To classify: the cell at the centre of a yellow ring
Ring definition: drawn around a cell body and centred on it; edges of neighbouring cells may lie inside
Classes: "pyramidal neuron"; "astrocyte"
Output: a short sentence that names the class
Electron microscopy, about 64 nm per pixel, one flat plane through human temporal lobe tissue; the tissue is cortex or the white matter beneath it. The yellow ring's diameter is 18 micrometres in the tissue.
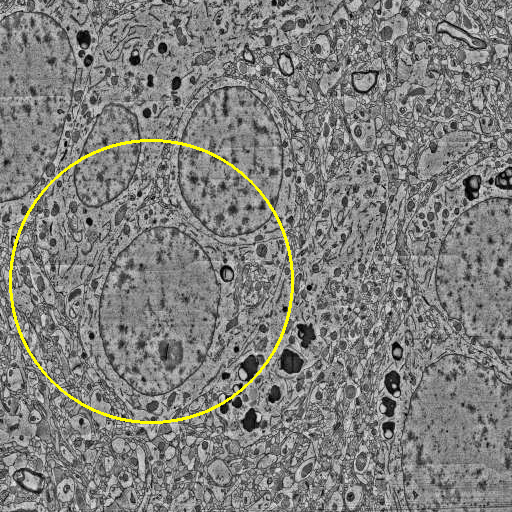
The ringed cell is a pyramidal neuron.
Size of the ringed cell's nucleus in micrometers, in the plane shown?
In this plane the nucleus measures roughly 11 by 8 micrometres.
